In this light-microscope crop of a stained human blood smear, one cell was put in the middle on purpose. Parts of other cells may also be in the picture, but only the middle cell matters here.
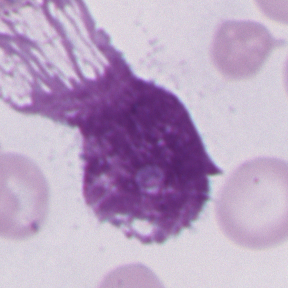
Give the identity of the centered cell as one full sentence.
The crop centres on a single cell, and that cell is a smudge cell.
